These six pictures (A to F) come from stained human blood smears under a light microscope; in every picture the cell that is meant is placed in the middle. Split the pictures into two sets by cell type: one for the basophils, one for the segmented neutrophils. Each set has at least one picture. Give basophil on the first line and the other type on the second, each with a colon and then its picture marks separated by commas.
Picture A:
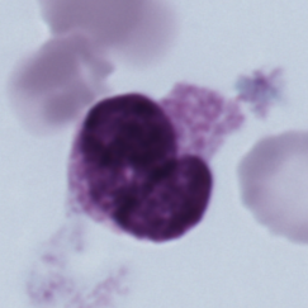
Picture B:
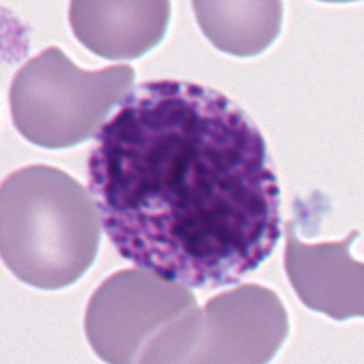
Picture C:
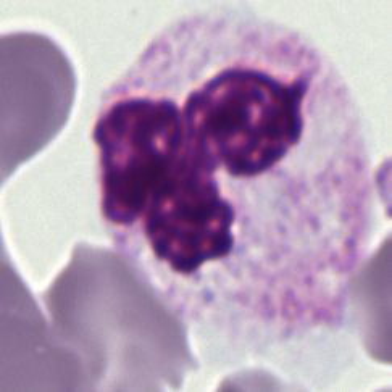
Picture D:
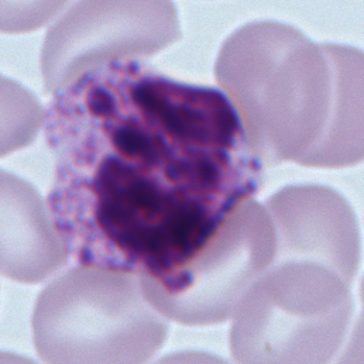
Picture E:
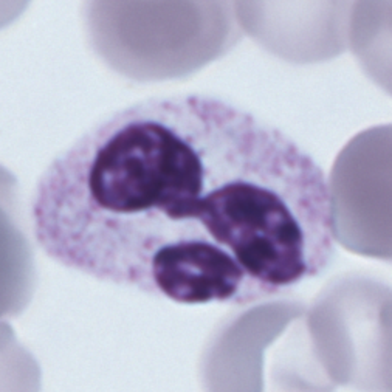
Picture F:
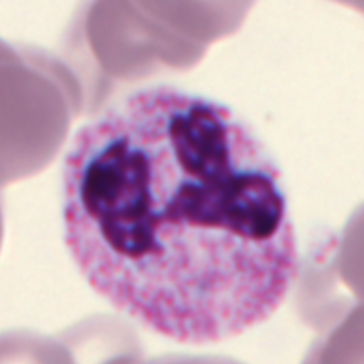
basophil: B, D
segmented neutrophil: A, C, E, F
